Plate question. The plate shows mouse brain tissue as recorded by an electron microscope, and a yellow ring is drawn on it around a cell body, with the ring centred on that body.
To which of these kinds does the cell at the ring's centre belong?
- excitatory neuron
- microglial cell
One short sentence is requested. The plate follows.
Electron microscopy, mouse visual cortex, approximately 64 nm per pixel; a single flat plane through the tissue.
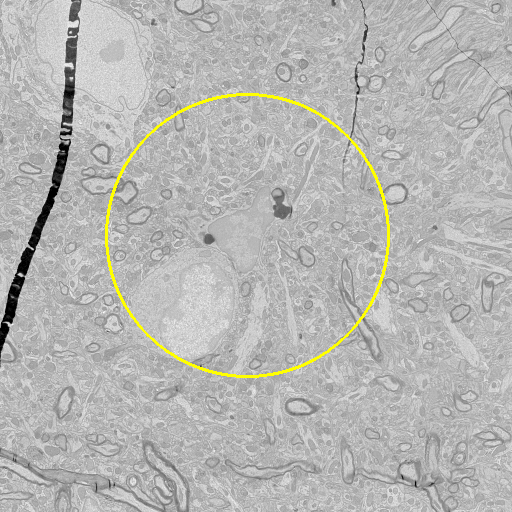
The cell at the ring's centre is a microglial cell.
